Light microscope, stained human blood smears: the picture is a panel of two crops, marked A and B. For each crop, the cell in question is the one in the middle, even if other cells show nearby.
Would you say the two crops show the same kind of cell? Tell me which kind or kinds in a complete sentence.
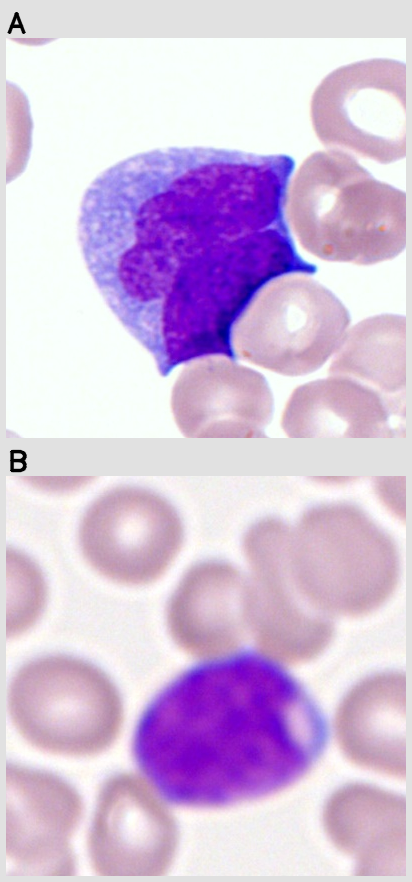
Yes, the cells that both crops show at the centre are myeloblasts.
